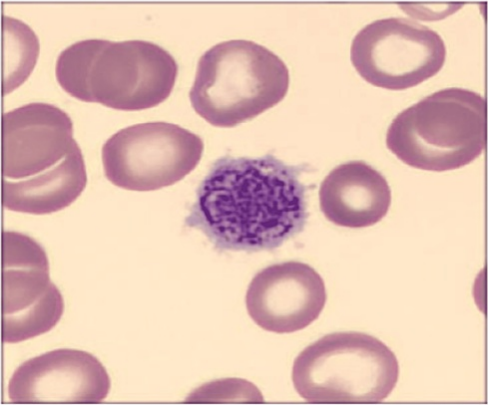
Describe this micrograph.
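A large, irregularly shaped platelet lies among red cells in a blood smear, about as big as a red cell itself. Its centre is packed with dark purple granules. A narrow pale margin with small ragged projections surrounds it. The red cells around it are round to slightly oval with central pallor, and several overlap one another.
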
